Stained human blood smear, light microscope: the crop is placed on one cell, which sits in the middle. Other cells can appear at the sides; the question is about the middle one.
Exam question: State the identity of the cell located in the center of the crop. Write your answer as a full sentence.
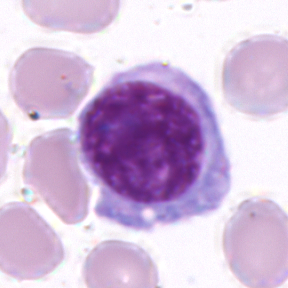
In the middle of this smear crop, the cell is a plasma cell.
